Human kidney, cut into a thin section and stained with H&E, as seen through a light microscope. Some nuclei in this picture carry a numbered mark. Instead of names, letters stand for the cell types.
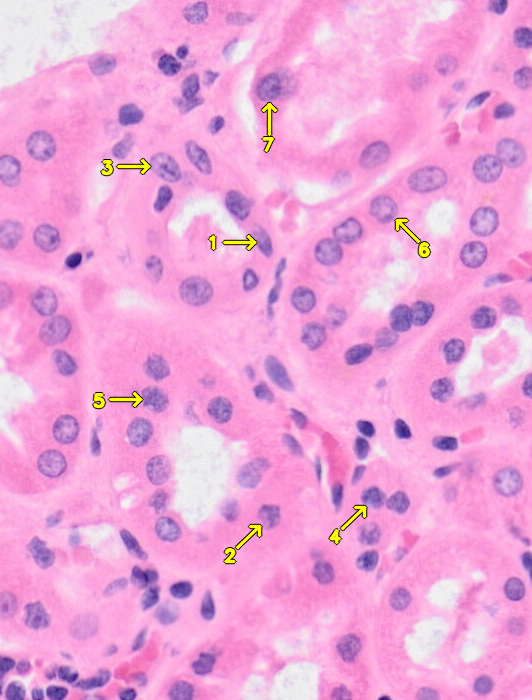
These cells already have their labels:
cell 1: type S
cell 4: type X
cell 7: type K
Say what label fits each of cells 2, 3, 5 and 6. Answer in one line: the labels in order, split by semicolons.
type X; type S; type X; type K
